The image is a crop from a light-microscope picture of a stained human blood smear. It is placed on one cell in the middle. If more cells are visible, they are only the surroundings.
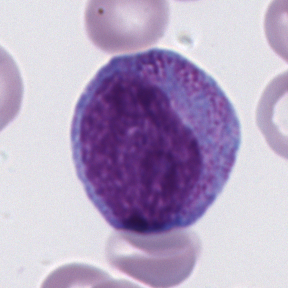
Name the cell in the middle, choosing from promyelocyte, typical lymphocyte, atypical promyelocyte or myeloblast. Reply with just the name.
promyelocyte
